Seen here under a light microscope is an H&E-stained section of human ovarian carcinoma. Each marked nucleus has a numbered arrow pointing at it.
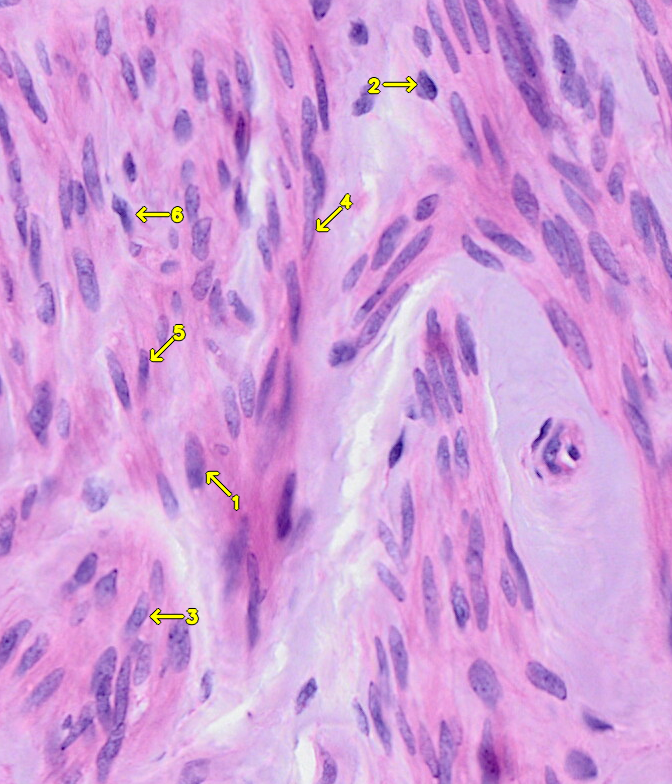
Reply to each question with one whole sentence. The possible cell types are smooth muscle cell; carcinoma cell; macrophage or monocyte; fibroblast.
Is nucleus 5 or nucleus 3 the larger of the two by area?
Number 3 is larger; its area is about 2 times that of number 5.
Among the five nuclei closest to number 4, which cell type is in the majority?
Of the five nuclei nearest to number 4, most belong to smooth muscle cells.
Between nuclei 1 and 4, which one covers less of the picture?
Nucleus 4 covers less area, with nucleus 1 about 2.5 times as large.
